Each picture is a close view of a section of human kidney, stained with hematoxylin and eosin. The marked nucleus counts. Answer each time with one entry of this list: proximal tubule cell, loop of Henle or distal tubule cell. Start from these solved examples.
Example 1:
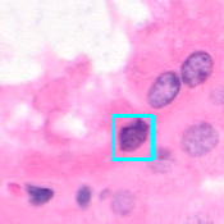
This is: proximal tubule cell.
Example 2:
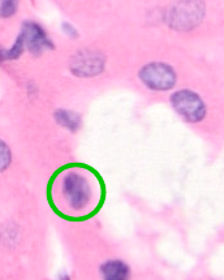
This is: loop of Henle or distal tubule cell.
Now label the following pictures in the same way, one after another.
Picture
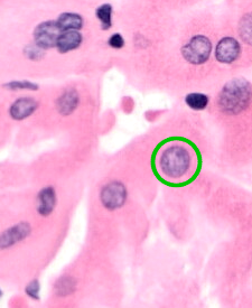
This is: proximal tubule cell.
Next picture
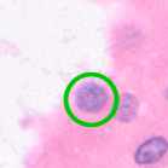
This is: proximal tubule cell.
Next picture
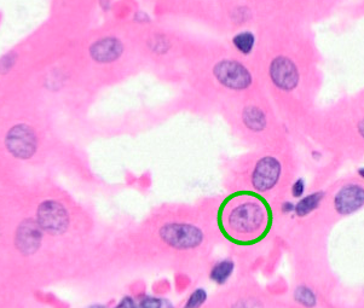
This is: proximal tubule cell.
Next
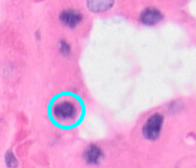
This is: loop of Henle or distal tubule cell.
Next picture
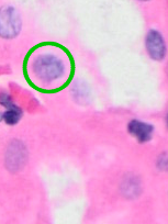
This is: loop of Henle or distal tubule cell.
